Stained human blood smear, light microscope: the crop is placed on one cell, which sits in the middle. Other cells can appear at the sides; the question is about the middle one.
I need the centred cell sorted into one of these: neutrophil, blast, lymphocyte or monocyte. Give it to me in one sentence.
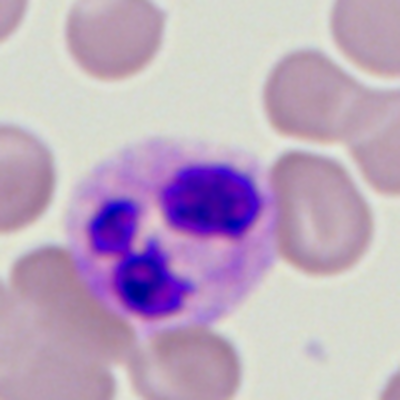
The crop centres on a single cell, and that cell is a neutrophil.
